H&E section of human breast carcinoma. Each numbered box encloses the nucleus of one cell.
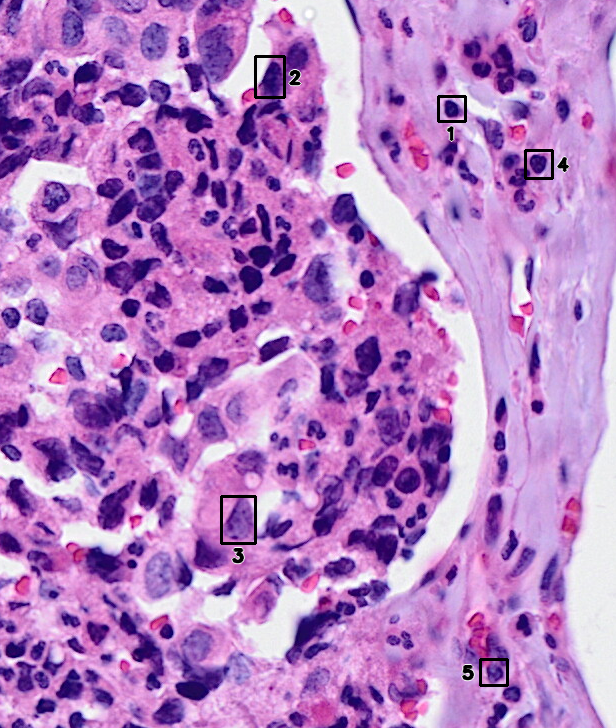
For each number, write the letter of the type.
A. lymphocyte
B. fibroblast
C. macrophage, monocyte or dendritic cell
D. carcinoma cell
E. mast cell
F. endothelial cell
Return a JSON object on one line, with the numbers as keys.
{"1": "A", "2": "D", "3": "D", "4": "A", "5": "F"}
